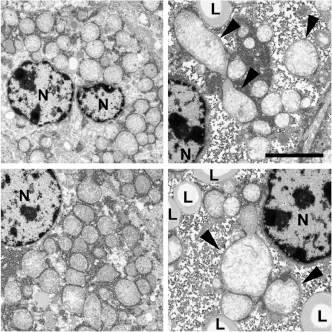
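These are liver cells seen by transmission electron microscopy, with large round nuclei whose chromatin lies in dark clumps along the nuclear envelope. In the right column the mitochondria are fewer, enlarged and irregular, with a pale swollen interior, and several are pointed out by arrowheads; the cytoplasm between them is finely speckled and round lipid droplets are scattered through it. The picture is of liver cells with deformed mitochondria and accumulated lipid droplets on one side.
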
